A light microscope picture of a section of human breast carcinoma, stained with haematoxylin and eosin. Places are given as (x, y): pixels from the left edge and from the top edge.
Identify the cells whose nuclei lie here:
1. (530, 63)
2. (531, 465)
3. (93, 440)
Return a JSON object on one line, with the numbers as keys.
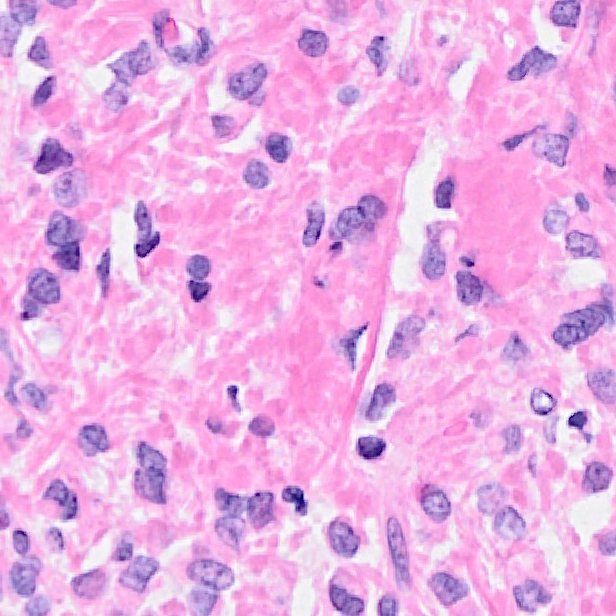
{"1": "fibroblast", "2": "fibroblast", "3": "carcinoma cell"}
